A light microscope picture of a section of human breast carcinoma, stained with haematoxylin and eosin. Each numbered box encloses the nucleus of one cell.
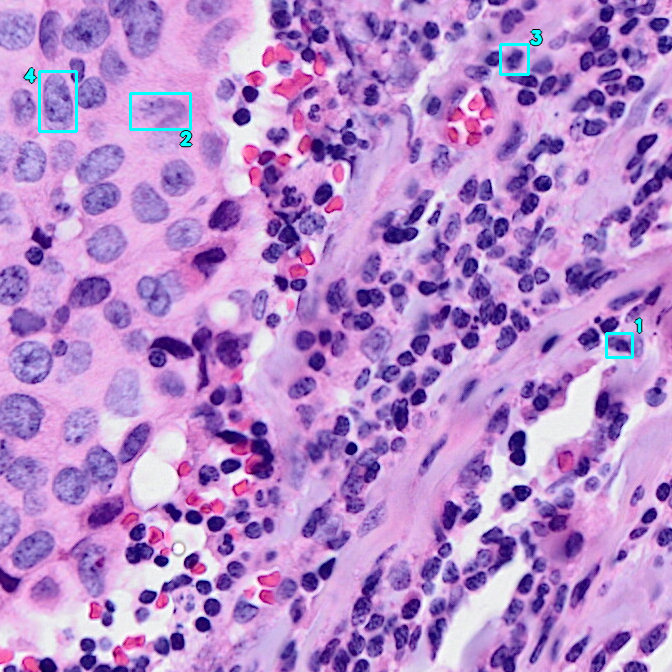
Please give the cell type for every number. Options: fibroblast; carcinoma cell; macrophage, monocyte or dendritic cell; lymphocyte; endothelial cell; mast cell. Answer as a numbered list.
1. lymphocyte
2. carcinoma cell
3. lymphocyte
4. carcinoma cell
